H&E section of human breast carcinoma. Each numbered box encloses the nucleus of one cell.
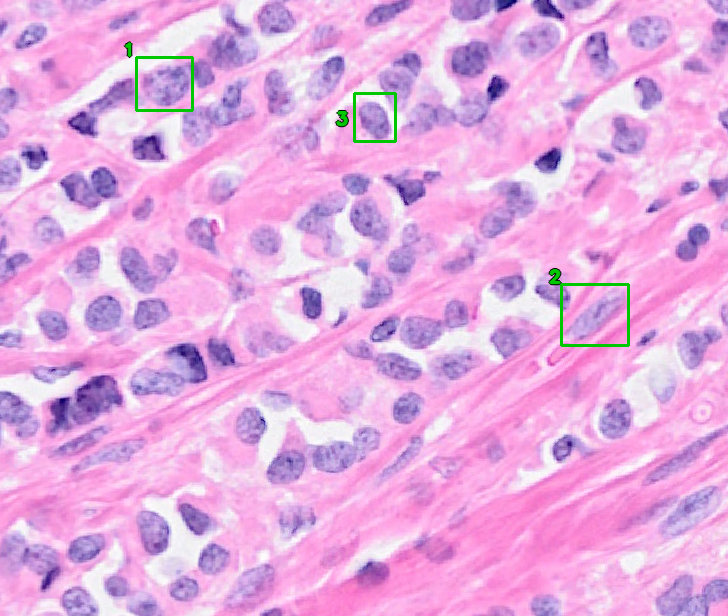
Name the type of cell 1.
carcinoma cell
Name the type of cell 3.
carcinoma cell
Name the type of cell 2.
endothelial cell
